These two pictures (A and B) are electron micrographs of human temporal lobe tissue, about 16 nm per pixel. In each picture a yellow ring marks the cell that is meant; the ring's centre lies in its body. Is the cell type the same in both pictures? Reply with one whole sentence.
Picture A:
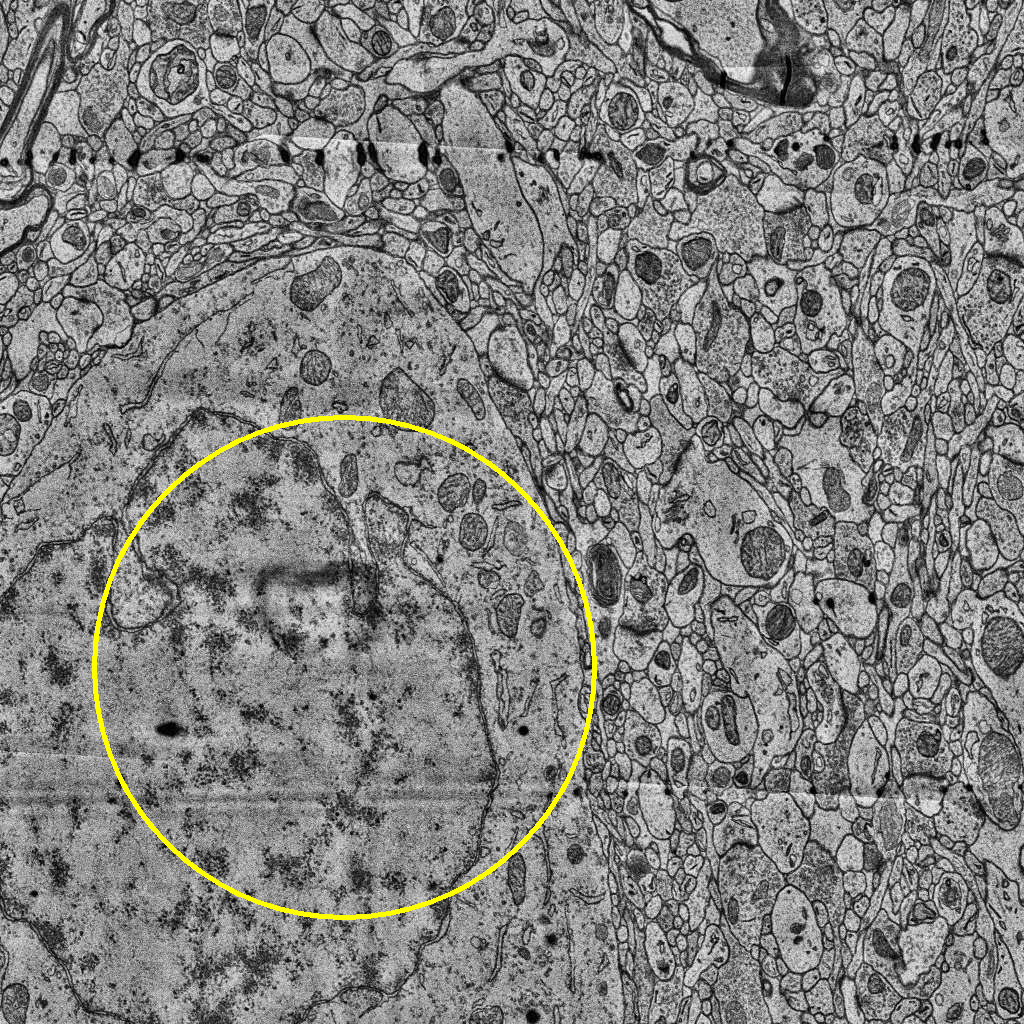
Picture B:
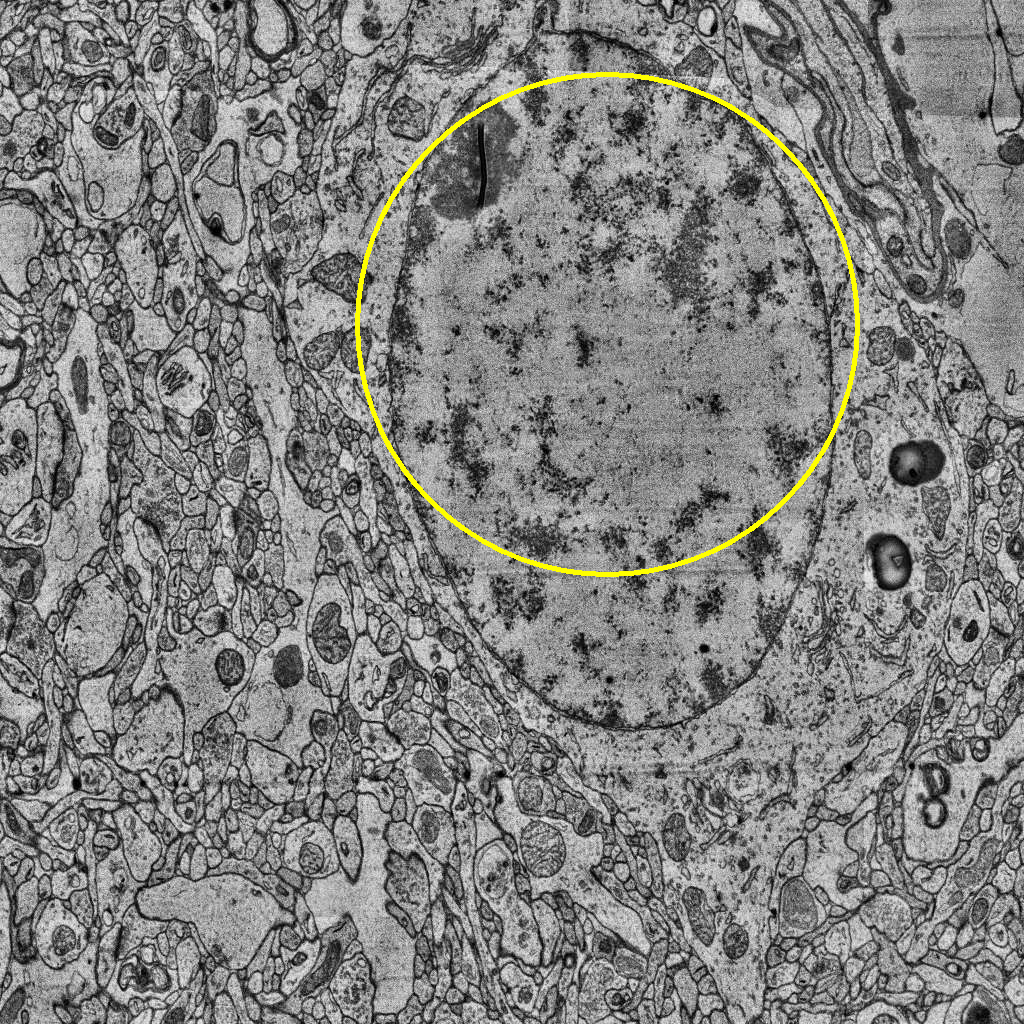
No, they differ: the cell is an interneuron in picture A and a pyramidal neuron in picture B.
